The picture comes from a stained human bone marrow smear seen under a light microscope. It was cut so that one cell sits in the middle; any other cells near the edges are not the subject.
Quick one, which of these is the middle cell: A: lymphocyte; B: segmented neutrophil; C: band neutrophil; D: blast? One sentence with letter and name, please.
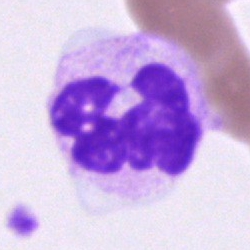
Option B is correct in that the central cell is a segmented neutrophil.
